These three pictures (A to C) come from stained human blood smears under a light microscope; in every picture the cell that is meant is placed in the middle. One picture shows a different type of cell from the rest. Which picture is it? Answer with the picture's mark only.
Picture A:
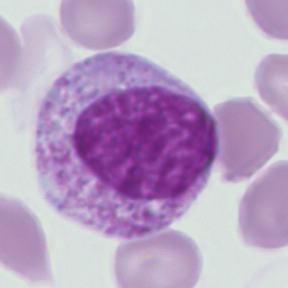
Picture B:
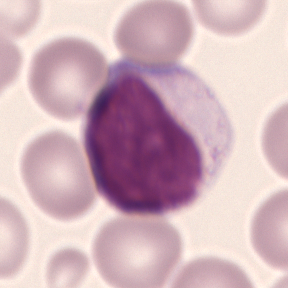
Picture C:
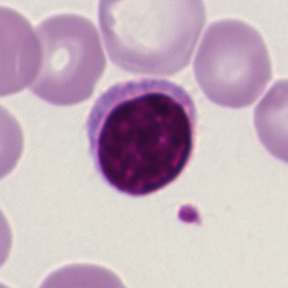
A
